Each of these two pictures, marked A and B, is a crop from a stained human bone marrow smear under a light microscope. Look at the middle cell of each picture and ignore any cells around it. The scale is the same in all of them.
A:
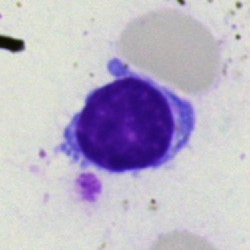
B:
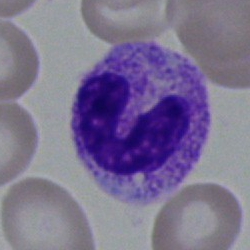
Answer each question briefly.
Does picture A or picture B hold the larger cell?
B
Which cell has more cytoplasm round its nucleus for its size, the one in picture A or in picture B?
B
